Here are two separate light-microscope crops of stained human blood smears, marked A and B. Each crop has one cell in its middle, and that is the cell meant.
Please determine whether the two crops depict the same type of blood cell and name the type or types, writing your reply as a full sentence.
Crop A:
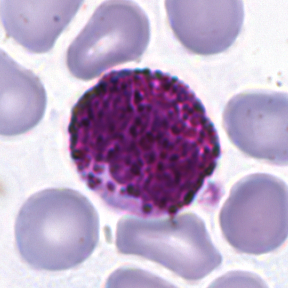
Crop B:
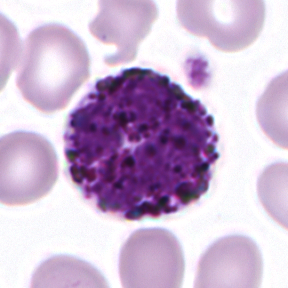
Yes, the central cells of both crops are basophils.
